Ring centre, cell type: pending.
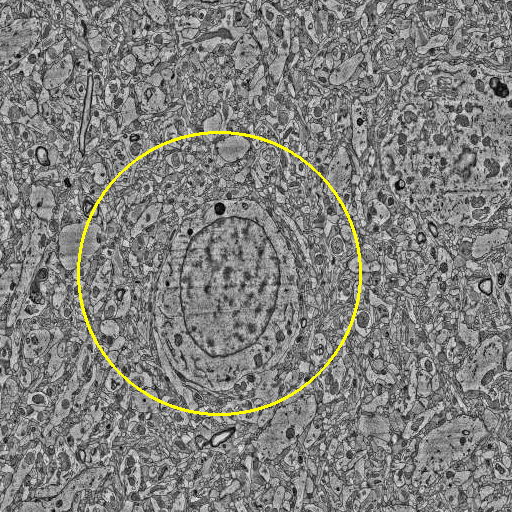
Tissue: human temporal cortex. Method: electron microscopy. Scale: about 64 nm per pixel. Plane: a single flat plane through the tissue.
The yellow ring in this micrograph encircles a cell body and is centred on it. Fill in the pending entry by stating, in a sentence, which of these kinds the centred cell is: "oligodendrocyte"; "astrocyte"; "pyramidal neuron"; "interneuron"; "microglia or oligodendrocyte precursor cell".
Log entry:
The centred cell is recorded as a pyramidal neuron.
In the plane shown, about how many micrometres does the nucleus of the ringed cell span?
In this plane the nucleus measures roughly 9 by 6 micrometres.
